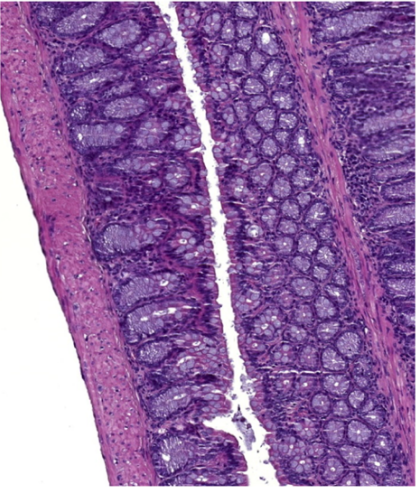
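A section of colon wall in which the mucosa is made of straight tubular crypts lying side by side, cut partly lengthwise and partly across, so that some appear as rows of test tubes and others as round rings. The crypts are lined by columnar cells with dark purple basal nuclei and many pale, clear goblet cells. A thin lamina propria separates neighbouring crypts. Beneath the mucosa, a band of pink smooth muscle with elongated nuclei forms the outer wall. The architecture is orderly, with crypts evenly spaced and little cellular tissue crowding between them.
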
